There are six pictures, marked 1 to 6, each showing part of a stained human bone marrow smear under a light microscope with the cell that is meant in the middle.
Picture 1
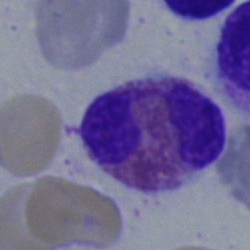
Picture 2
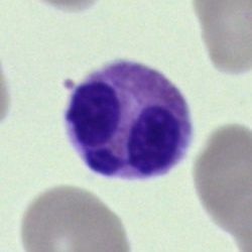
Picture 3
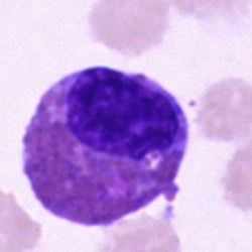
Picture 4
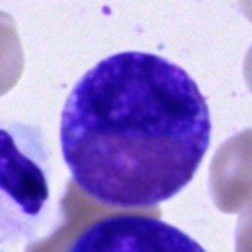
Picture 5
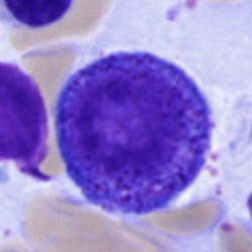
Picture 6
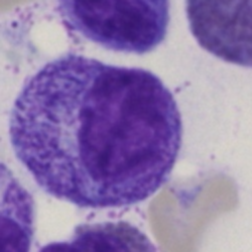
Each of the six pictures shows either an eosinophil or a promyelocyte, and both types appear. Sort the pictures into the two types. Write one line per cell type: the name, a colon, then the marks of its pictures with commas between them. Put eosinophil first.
eosinophil: 1, 2, 3, 4
promyelocyte: 5, 6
